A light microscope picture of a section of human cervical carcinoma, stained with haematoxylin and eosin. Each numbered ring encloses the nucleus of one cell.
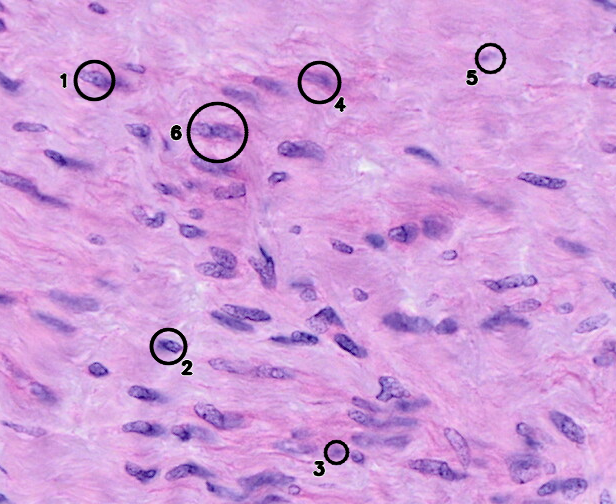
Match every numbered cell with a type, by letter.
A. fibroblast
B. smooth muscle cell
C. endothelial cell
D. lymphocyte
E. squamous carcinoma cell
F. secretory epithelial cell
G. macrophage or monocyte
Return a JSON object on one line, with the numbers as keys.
{"1": "B", "2": "A", "3": "B", "4": "B", "5": "A", "6": "B"}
